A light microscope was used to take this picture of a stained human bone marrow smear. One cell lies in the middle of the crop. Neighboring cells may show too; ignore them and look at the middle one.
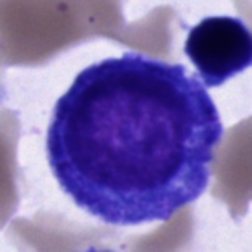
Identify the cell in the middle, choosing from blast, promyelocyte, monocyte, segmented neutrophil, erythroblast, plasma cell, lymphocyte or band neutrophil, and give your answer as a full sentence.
The cell nearest the centre of this crop is a promyelocyte.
